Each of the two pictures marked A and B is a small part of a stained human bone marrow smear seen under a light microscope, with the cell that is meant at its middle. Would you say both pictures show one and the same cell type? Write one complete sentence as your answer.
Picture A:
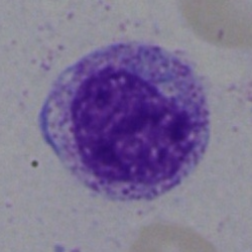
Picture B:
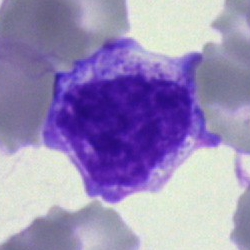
Yes, both cells are myelocytes.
